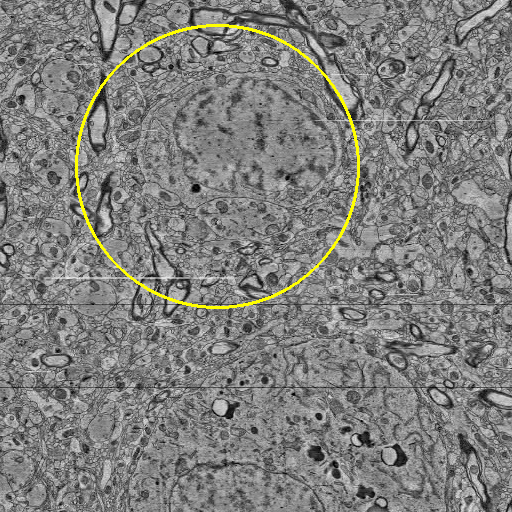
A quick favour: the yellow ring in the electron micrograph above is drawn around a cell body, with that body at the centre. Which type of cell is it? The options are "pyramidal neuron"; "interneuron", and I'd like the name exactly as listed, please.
interneuron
